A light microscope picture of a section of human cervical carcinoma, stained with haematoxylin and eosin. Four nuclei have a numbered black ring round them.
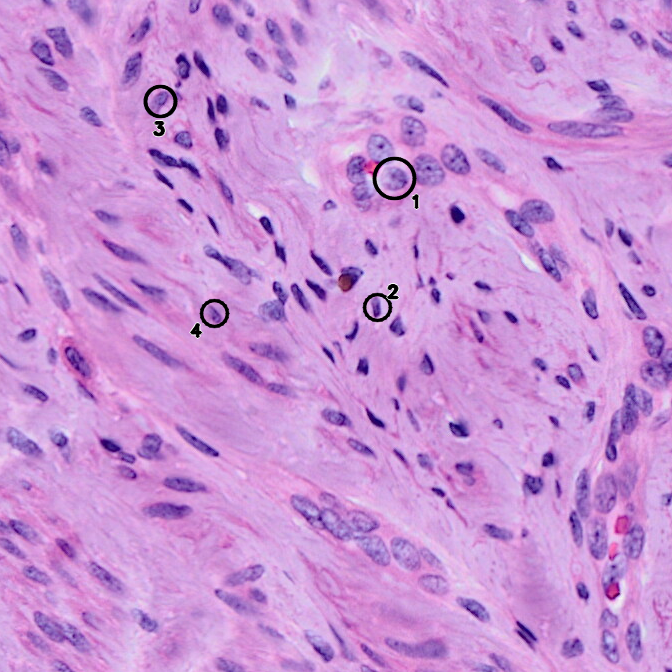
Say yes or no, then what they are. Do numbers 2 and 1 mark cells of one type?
No, cell 2 is a fibroblast and cell 1 is an endothelial cell.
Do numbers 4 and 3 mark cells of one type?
Yes, both are smooth muscle cells.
